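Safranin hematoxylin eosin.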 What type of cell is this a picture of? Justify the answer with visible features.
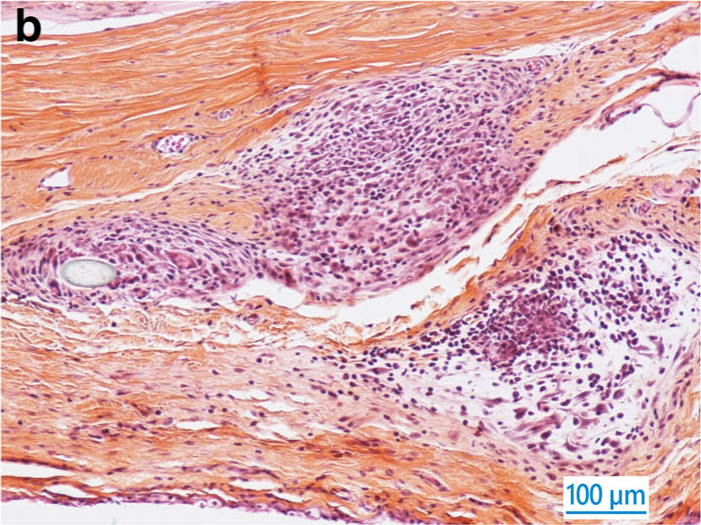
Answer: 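Inflammatory cells. Dense clusters of small cells with round dark purple nuclei. The clusters lie between orange-red bundles of fibrous connective tissue.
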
